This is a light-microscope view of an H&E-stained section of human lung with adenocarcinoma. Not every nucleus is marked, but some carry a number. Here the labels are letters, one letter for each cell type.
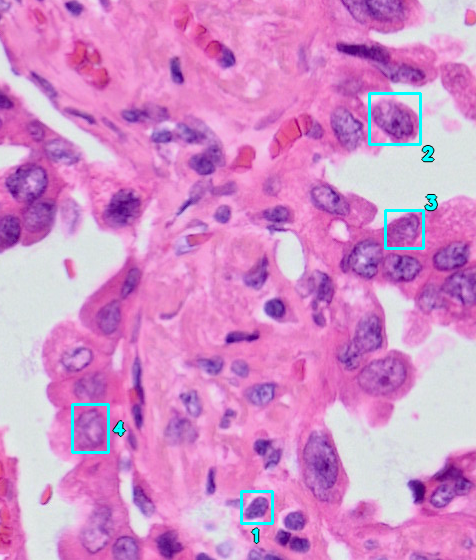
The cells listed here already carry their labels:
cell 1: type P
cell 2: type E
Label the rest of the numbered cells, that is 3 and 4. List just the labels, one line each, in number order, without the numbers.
type E
type E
